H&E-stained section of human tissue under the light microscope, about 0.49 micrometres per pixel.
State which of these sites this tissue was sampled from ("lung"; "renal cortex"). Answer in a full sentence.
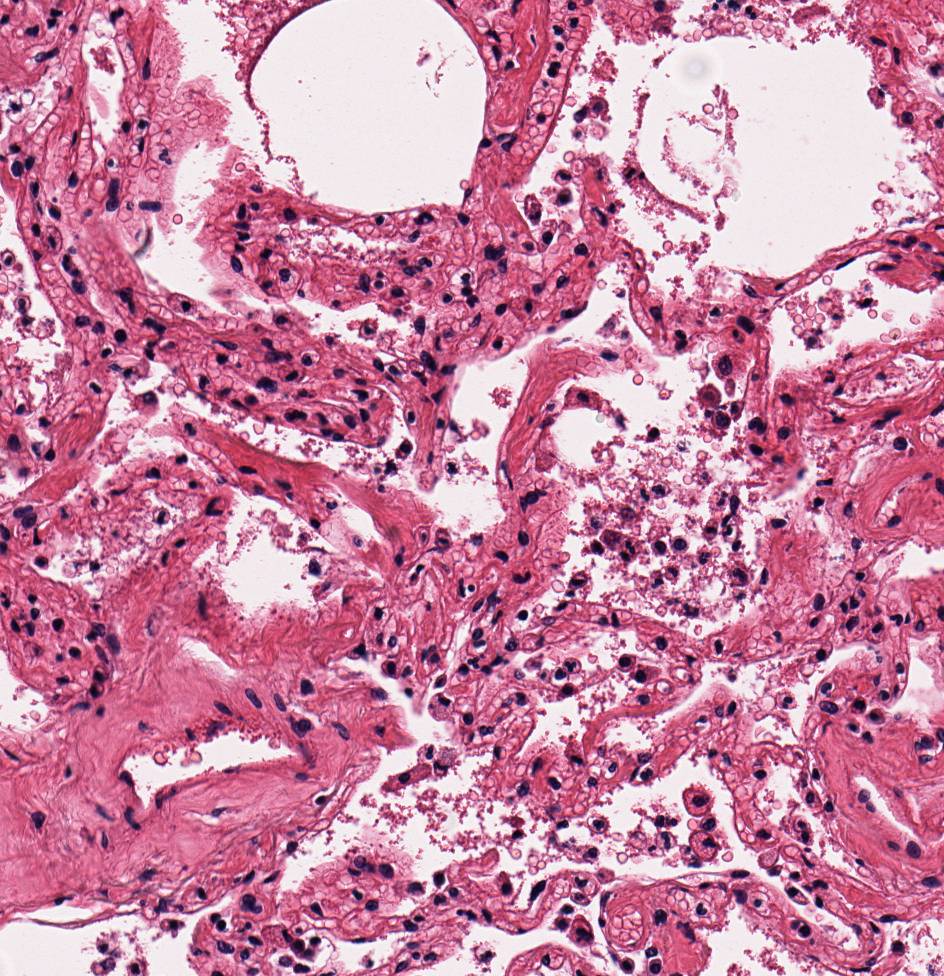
The site this tissue was sampled from is the lung.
